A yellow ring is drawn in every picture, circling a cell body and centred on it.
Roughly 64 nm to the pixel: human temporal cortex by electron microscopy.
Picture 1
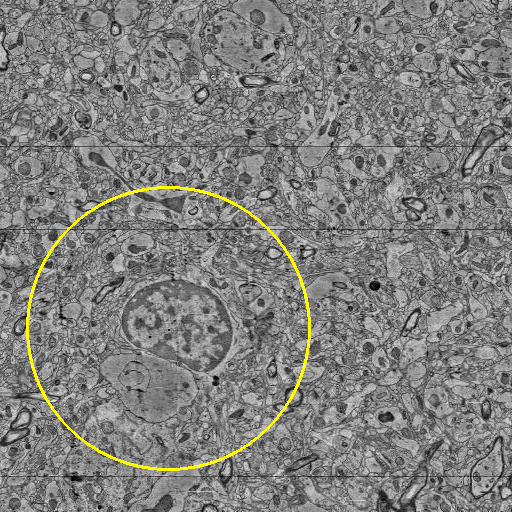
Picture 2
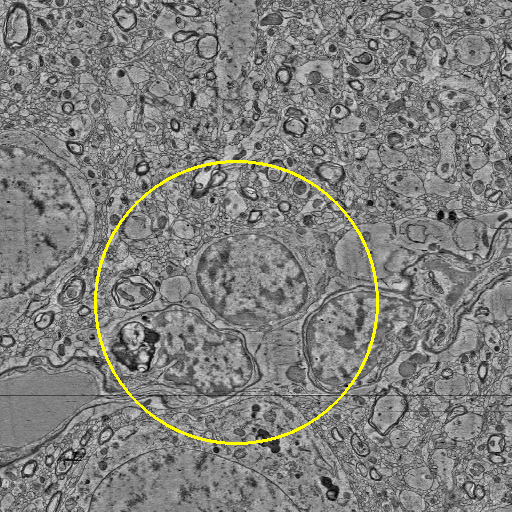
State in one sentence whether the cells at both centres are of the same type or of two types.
The cells at the two ring centres, one per picture, are of two types.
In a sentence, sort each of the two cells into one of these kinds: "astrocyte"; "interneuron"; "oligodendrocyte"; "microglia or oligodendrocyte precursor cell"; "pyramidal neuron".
The first of the two cells is a microglial cell or oligodendrocyte precursor cell, and the second is an oligodendrocyte.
